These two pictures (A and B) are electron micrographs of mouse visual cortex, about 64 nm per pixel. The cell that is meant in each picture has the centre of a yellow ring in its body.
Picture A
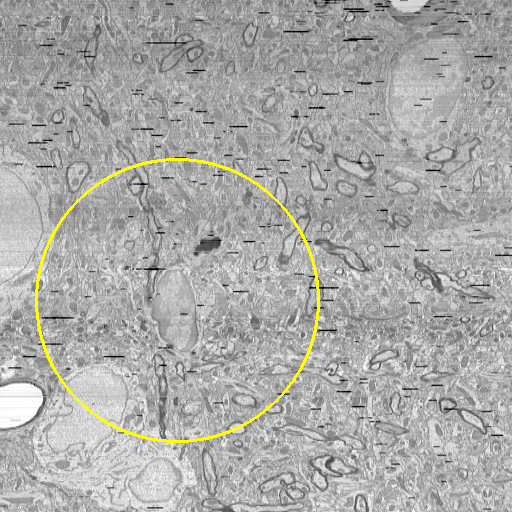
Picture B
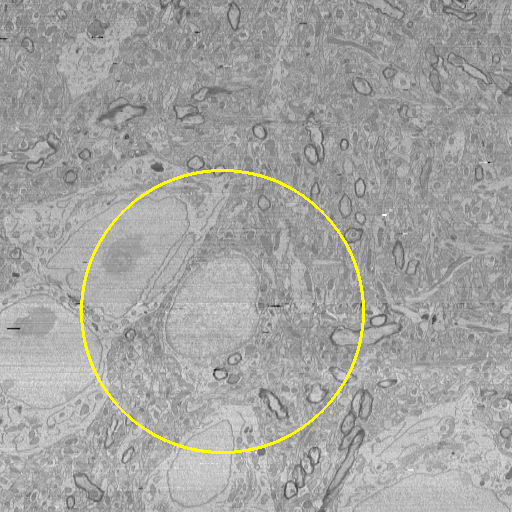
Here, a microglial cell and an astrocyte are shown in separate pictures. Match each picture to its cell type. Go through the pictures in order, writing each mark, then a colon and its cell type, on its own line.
A: microglial cell
B: astrocyte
